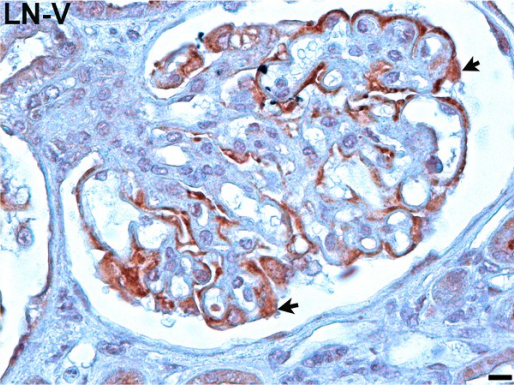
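This is a glomerulus, a tuft of capillary loops lying within a clear urinary space and enclosed by a thin capsule. The brown stain runs along the outer edges of the capillary loops, where the podocytes sit facing the urinary space. The stain fills the cytoplasm of these cells, while their nuclei stay pale blue. The inner parts of the tuft are largely blue-grey with little brown.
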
